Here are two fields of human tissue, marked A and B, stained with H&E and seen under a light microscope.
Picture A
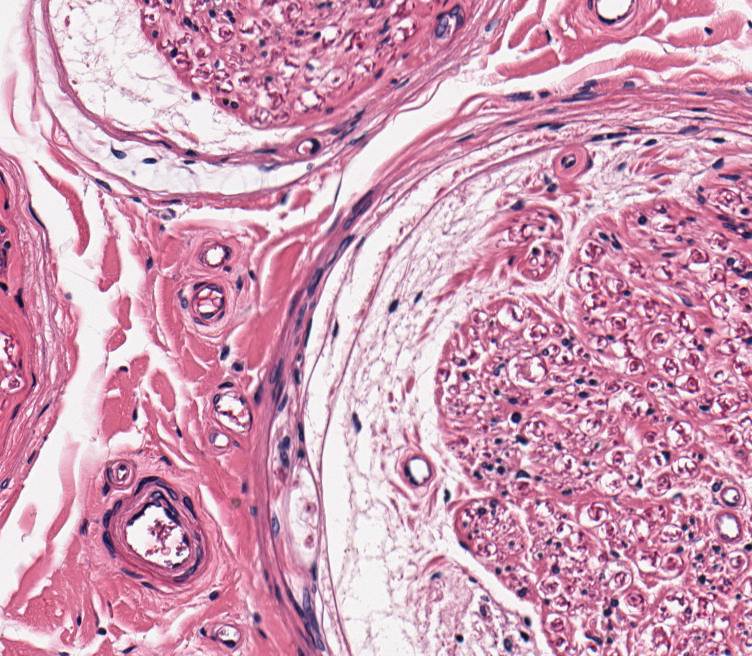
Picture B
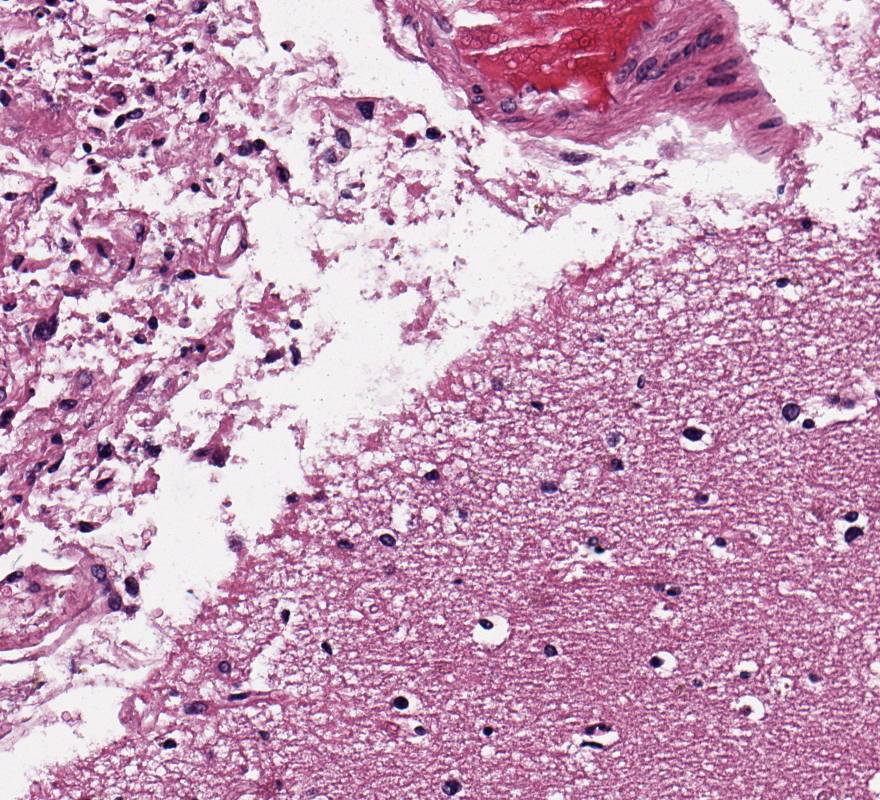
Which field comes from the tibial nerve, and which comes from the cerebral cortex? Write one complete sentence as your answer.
Picture A comes from the tibial nerve; picture B comes from the cerebral cortex.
